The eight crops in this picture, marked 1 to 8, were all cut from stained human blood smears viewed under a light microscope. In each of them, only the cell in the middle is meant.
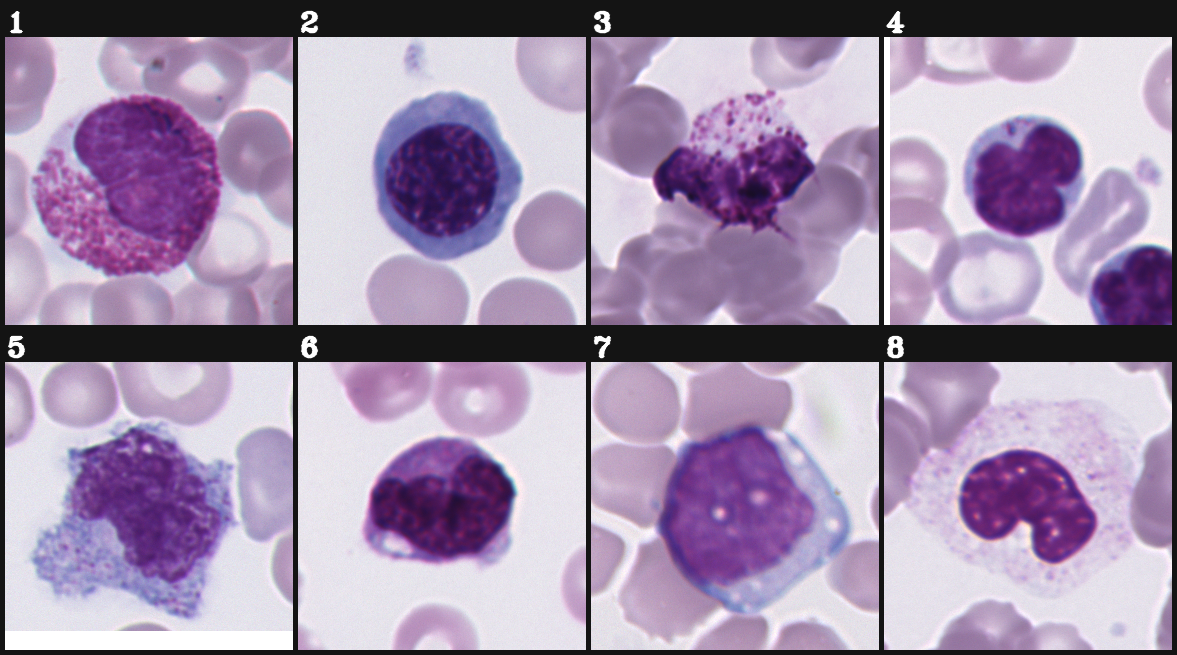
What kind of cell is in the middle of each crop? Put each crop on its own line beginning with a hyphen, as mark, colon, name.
- 1: eosinophil
- 2: erythroblast
- 3: basophil
- 4: large granular lymphocyte
- 5: promyelocyte
- 6: monocyte
- 7: myeloblast
- 8: band neutrophil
